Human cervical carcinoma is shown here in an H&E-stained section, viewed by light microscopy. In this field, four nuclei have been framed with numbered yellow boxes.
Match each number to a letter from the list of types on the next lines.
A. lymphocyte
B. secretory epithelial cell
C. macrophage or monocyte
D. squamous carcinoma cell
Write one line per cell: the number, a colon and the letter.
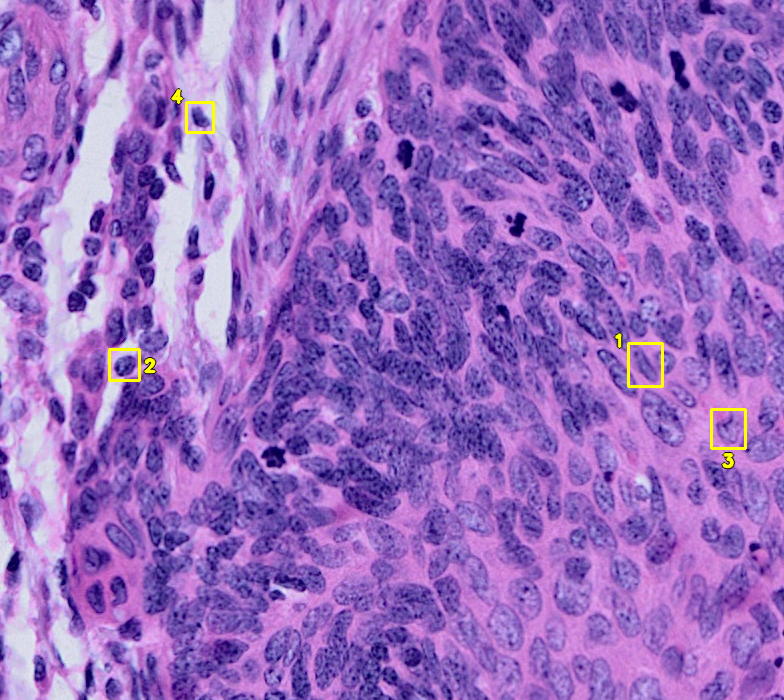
1: D
2: A
3: D
4: A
